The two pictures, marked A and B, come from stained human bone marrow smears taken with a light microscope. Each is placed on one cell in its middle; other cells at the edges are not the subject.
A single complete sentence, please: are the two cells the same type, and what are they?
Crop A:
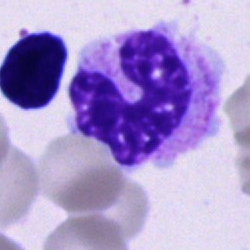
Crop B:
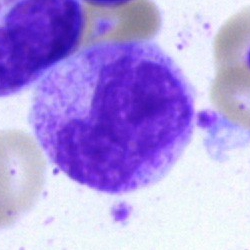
No, that is not right; crop A shows a band neutrophil and crop B shows a metamyelocyte.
